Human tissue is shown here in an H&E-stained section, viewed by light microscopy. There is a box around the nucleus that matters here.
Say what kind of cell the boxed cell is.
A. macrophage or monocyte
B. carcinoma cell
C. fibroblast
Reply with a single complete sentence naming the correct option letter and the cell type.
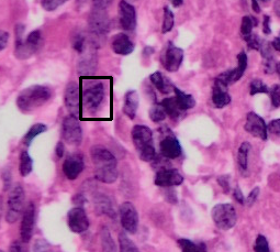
The correct option, A, describes the boxed cell as a macrophage or monocyte.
